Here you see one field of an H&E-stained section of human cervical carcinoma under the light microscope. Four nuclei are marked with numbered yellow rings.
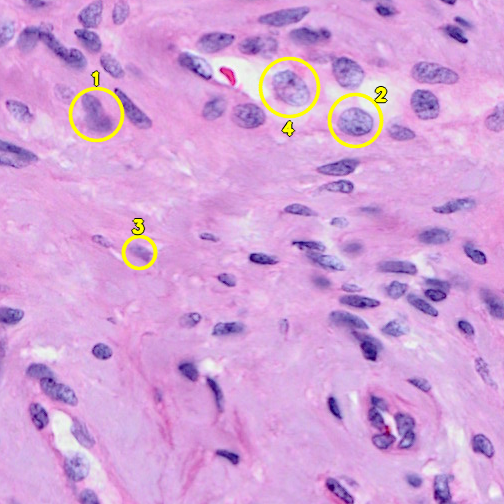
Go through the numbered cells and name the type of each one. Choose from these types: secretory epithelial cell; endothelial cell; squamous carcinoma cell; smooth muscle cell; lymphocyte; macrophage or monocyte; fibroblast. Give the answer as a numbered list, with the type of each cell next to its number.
1. fibroblast
2. endothelial cell
3. fibroblast
4. endothelial cell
